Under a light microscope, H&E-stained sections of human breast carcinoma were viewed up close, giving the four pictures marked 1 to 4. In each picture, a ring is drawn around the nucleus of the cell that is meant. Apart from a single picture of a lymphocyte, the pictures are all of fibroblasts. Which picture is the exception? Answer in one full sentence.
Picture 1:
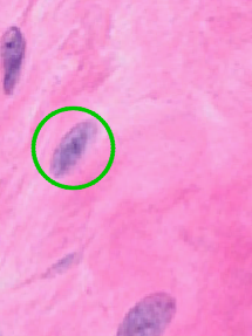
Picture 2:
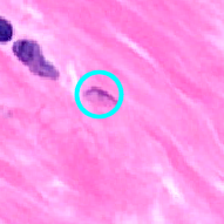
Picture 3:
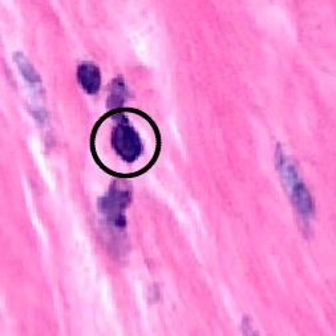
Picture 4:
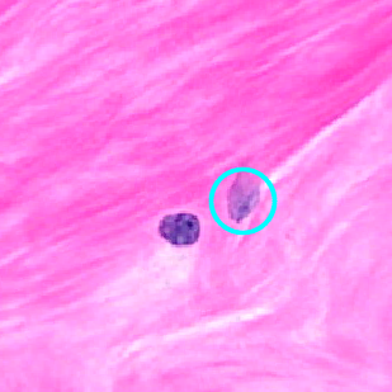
The lymphocyte is the one in picture 3.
